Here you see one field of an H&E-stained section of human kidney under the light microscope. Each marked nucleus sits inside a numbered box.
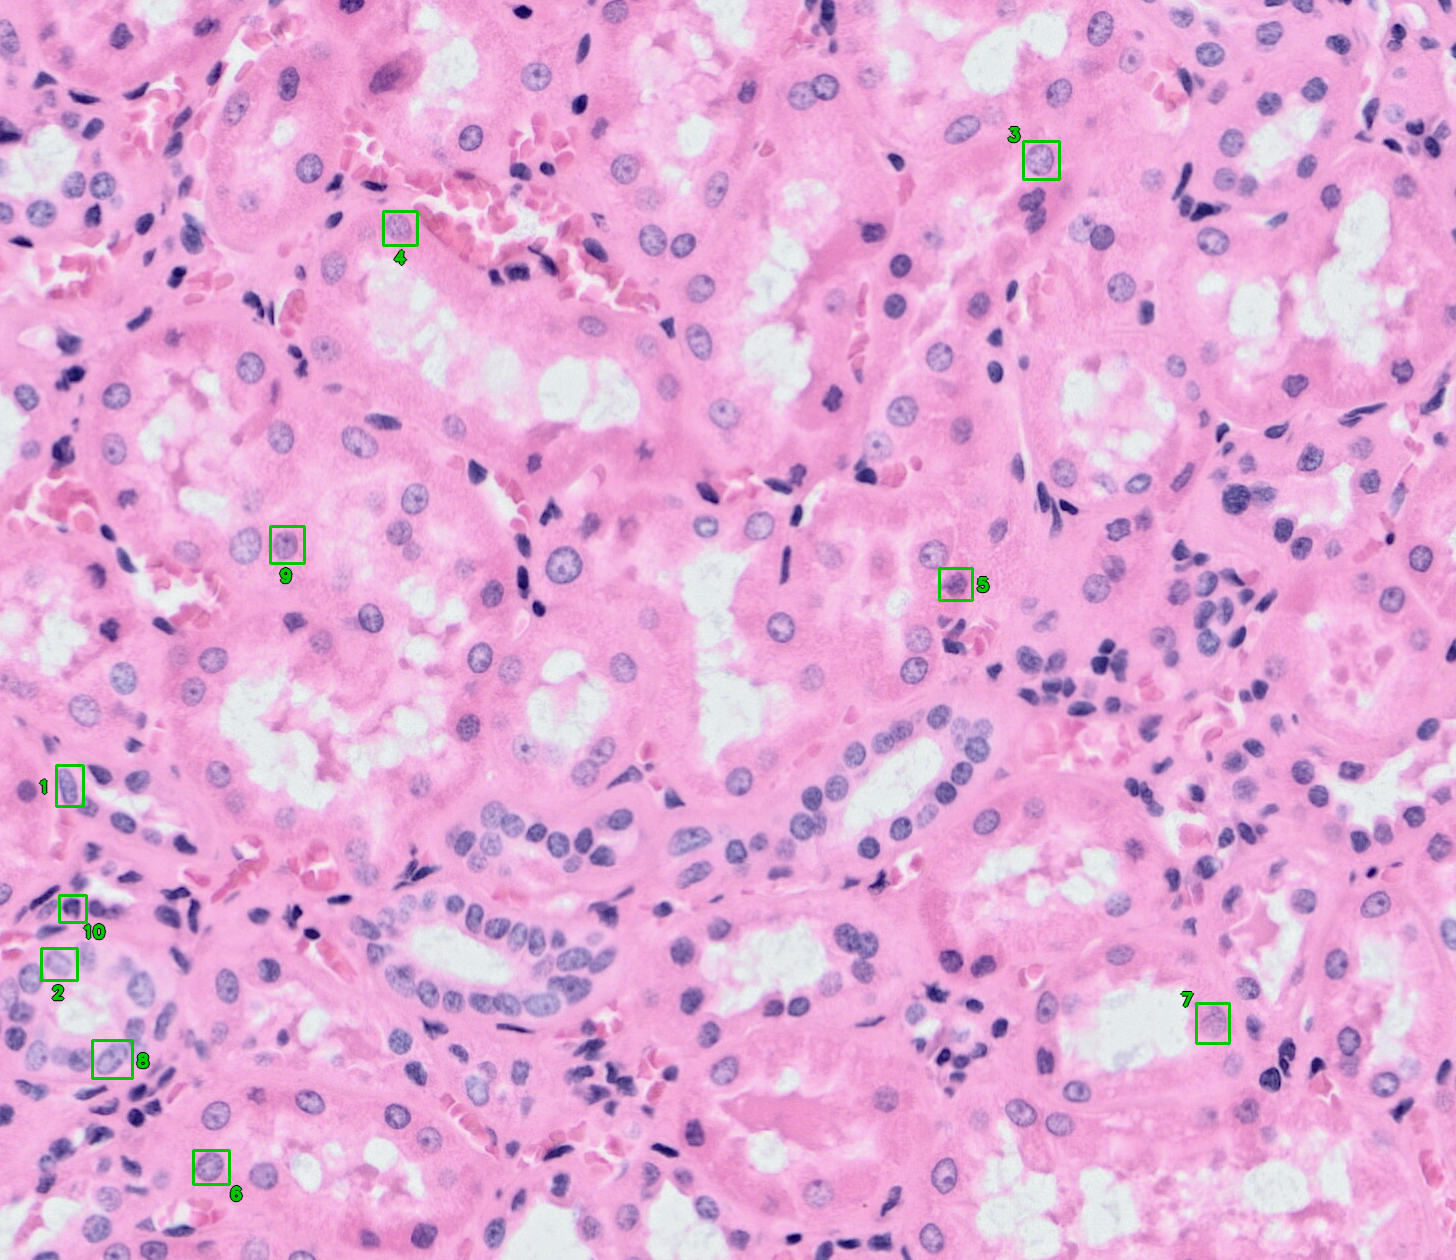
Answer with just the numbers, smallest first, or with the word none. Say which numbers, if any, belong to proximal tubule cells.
3, 4, 5, 6, 7, 9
